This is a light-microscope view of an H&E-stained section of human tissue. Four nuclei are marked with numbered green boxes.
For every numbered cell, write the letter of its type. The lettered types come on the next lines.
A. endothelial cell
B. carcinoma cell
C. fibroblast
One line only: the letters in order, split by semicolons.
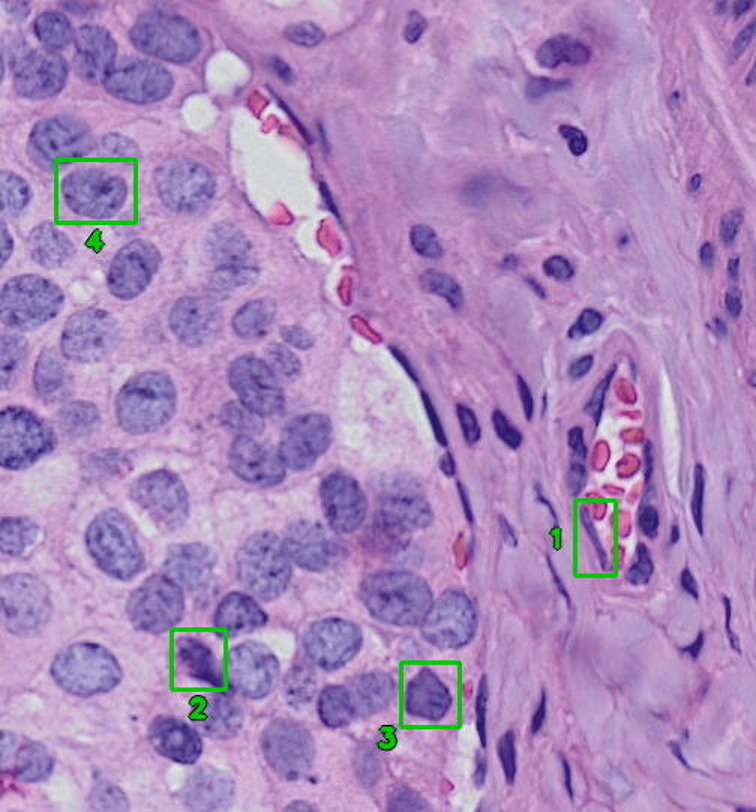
A; B; B; B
